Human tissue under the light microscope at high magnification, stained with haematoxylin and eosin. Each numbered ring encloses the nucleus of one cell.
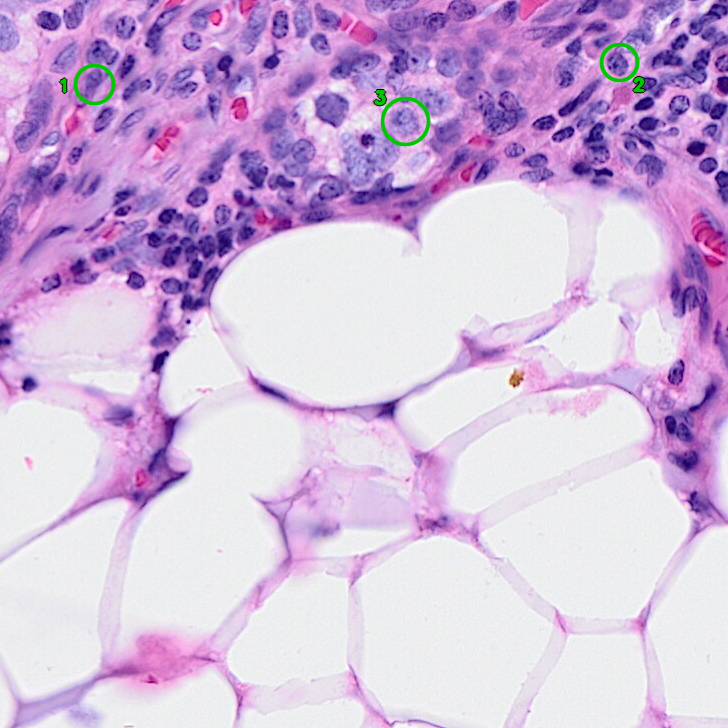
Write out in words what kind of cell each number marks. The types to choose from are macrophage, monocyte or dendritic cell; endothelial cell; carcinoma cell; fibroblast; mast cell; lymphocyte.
Cell 1 is an endothelial cell. Cell 2 is a mast cell. Cell 3 is a carcinoma cell.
